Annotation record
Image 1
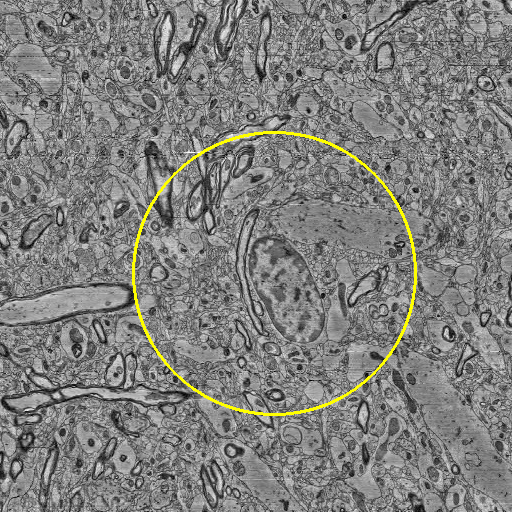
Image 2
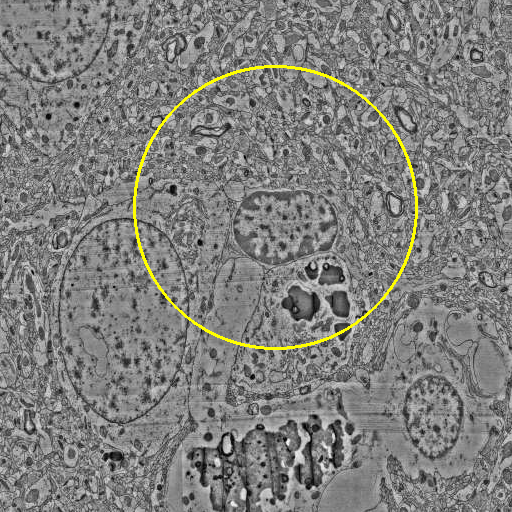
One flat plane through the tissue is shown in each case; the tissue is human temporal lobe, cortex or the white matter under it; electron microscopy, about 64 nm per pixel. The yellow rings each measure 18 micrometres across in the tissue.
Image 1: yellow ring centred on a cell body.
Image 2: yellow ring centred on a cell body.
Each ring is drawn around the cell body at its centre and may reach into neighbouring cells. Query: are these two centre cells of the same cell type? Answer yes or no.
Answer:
yes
